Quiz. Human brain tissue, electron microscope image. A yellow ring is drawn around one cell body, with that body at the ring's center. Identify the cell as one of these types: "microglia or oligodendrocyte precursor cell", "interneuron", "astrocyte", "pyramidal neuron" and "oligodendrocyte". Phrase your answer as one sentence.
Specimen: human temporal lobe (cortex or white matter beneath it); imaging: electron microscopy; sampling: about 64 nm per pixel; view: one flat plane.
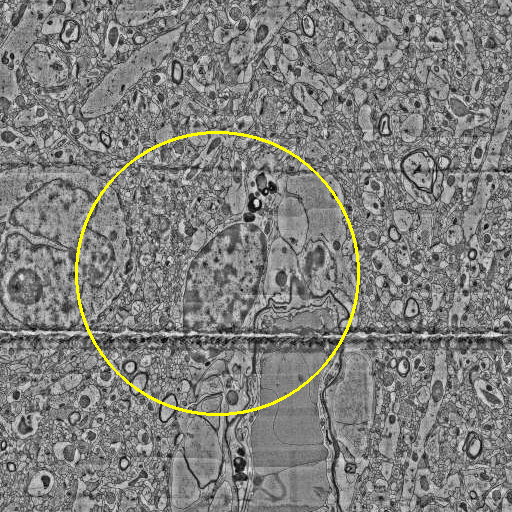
At the center of the ring sits a microglial cell or oligodendrocyte precursor cell.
